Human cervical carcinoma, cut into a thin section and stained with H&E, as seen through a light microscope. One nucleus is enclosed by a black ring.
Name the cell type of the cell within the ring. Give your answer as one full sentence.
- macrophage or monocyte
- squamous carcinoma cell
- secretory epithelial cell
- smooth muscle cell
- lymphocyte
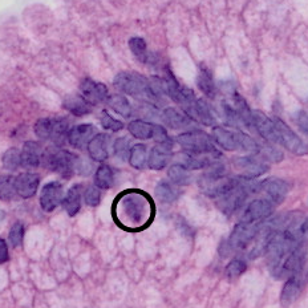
The cell meant here is a secretory epithelial cell.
